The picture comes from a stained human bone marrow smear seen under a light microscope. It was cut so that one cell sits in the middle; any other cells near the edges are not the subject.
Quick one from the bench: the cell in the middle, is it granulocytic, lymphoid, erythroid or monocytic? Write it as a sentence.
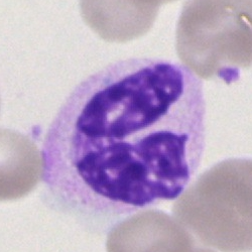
The cell found in the center of the crop is of the granulocytic lineage.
